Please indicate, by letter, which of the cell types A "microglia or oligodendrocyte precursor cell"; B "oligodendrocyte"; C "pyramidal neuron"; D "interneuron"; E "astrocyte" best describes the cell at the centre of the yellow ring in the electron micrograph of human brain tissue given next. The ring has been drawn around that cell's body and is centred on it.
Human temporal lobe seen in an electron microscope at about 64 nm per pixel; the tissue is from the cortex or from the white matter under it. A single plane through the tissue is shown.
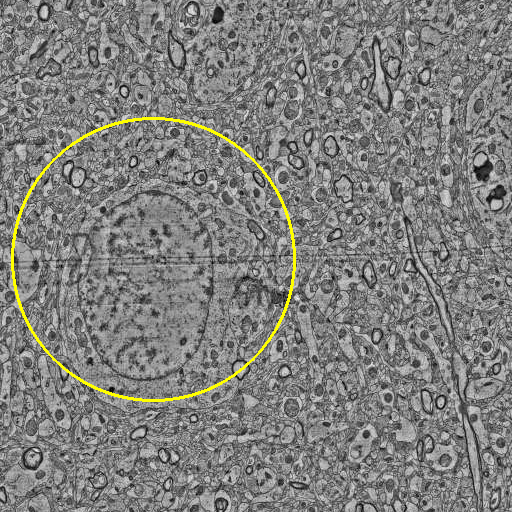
D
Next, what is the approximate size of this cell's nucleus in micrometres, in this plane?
Roughly 12 by 9 micrometres is the size of the nucleus in this plane.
